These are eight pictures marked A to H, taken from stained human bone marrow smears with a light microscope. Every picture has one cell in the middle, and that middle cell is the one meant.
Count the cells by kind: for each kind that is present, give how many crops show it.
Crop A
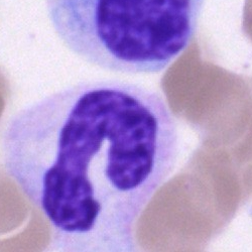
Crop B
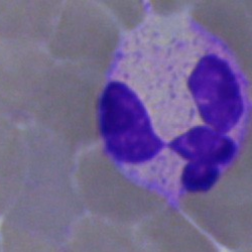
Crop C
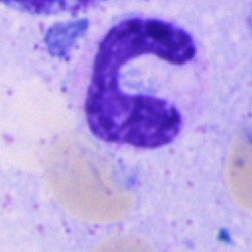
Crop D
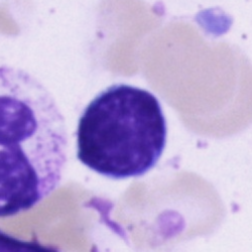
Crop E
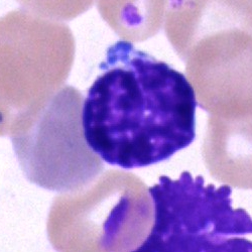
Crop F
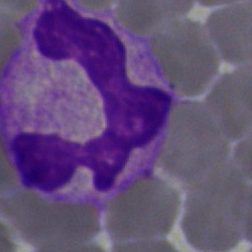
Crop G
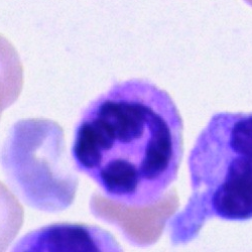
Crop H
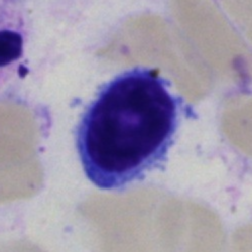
segmented neutrophil: 3
lymphocyte: 3
band neutrophil: 2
